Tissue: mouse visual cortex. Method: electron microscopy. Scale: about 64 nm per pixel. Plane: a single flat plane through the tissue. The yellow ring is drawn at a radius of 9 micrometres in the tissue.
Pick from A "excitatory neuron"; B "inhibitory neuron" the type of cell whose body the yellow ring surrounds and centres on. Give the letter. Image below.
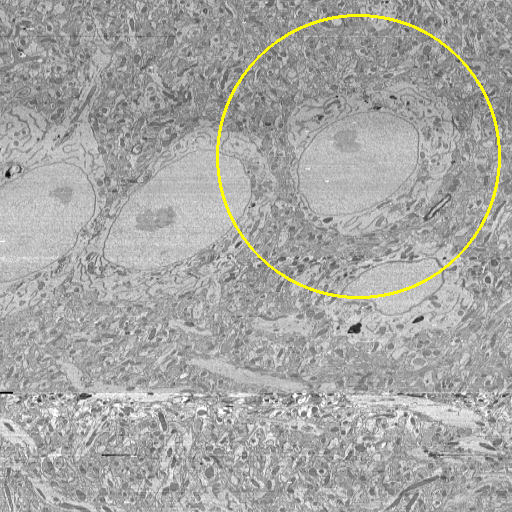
A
